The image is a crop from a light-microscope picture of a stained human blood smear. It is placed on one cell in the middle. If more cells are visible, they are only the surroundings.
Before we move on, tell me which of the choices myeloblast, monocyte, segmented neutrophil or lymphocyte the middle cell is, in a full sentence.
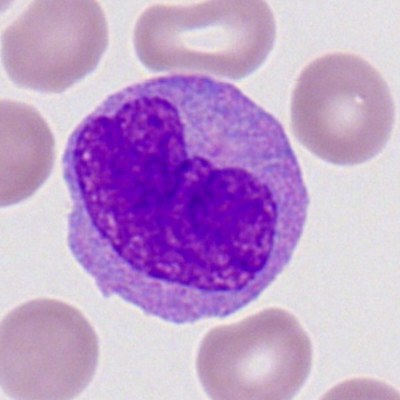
The cell at the middle of the frame should be recorded as a monocyte.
